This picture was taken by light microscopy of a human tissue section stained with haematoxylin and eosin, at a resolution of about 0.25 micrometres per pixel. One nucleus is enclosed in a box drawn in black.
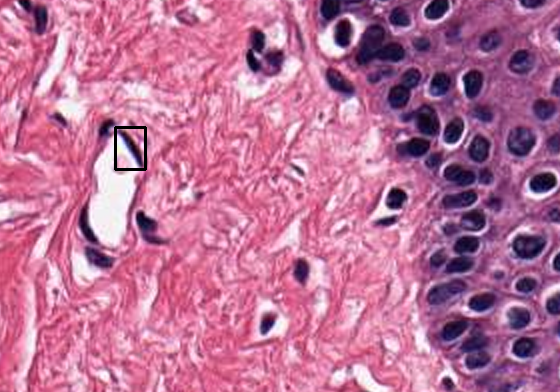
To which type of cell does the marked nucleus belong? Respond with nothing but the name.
endothelial cell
